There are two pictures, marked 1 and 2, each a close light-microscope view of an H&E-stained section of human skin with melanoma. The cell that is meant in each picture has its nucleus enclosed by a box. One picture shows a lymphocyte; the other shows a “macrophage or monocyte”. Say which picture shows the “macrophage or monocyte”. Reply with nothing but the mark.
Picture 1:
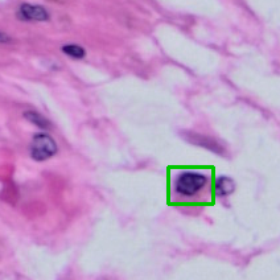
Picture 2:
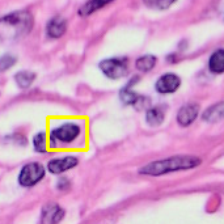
1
